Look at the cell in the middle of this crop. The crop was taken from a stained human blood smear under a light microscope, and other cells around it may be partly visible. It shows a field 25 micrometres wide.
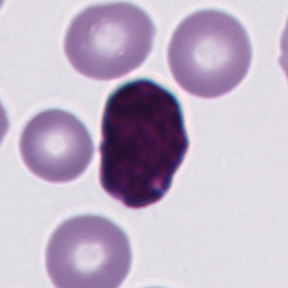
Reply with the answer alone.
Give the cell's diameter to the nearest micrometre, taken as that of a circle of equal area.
10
